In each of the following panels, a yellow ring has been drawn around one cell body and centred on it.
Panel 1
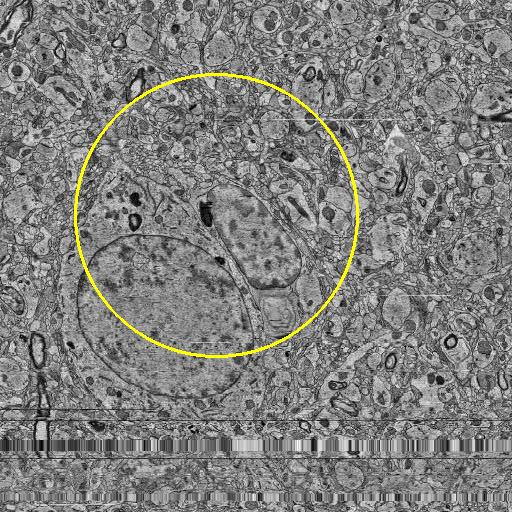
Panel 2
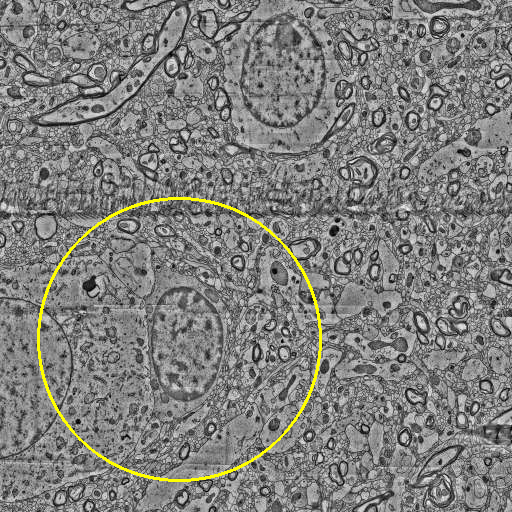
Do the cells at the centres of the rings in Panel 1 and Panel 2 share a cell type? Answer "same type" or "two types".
two types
